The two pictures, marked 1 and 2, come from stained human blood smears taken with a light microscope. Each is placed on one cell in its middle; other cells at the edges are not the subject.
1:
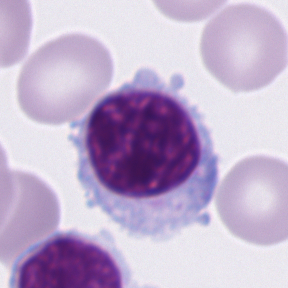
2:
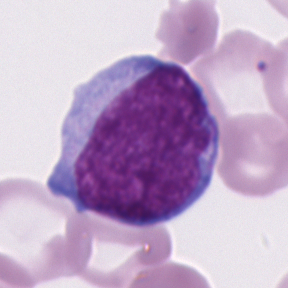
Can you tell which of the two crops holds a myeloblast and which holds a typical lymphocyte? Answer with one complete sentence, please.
Crop 1 features a typical lymphocyte, while crop 2 features a myeloblast.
